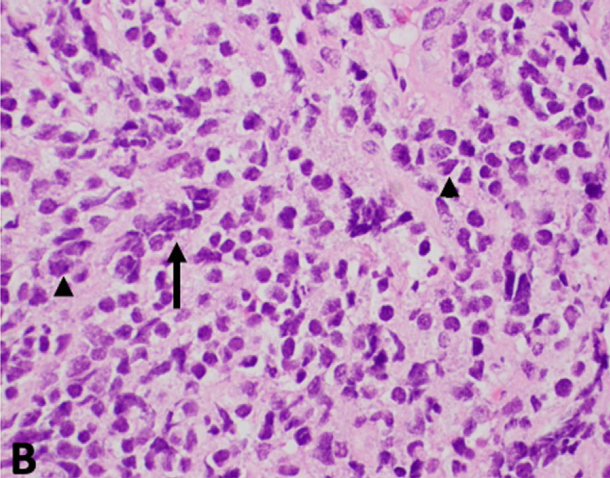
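This section of a tumor stained pink and purple shows densely packed cells with dark, oval to elongated nuclei and little cytoplasm. The cells form vague nests and cords separated by pale pink fibrillary material. In places neighbouring nuclei are pressed against one another, deforming each other's outlines, a pattern known as nuclear molding. The nuclei vary somewhat in shape and size and are hyperchromatic.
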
